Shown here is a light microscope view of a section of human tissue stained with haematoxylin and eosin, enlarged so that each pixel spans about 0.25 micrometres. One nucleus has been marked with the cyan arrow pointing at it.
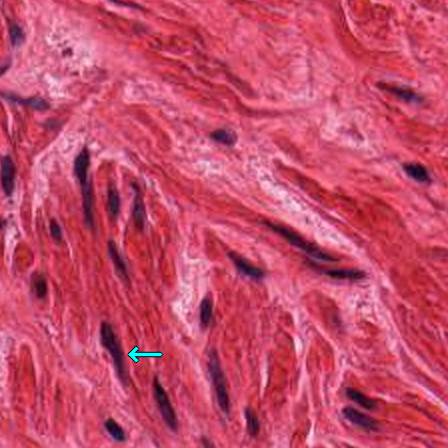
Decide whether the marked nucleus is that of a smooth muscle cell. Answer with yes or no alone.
yes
